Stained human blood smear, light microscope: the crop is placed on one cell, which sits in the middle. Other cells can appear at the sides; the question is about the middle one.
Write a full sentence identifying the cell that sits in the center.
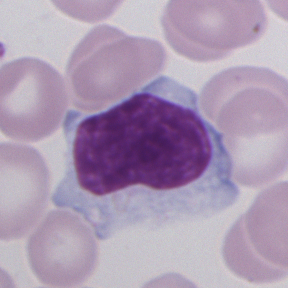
Whatever else lies nearby, the middle cell is a lymphocyte.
